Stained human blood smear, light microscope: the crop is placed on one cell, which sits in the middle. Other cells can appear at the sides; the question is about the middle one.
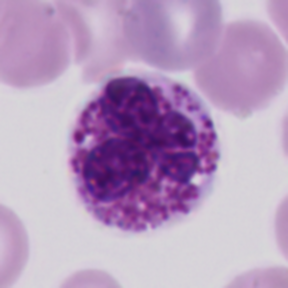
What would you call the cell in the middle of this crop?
eosinophil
